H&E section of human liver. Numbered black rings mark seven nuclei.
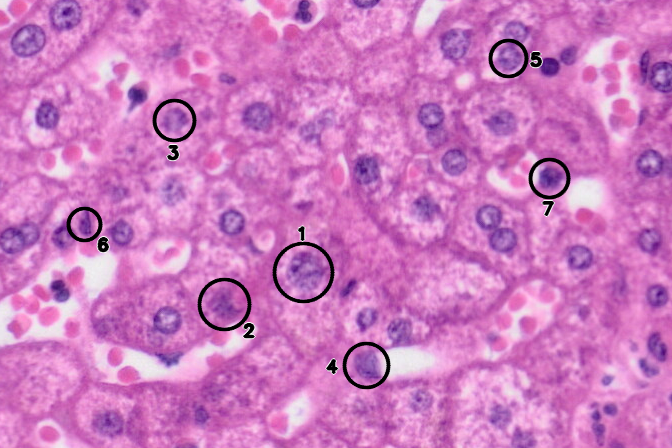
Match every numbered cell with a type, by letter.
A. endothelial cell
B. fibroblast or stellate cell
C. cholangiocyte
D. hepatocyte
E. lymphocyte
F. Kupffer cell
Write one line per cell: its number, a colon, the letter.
1: D
2: D
3: D
4: A
5: D
6: B
7: B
